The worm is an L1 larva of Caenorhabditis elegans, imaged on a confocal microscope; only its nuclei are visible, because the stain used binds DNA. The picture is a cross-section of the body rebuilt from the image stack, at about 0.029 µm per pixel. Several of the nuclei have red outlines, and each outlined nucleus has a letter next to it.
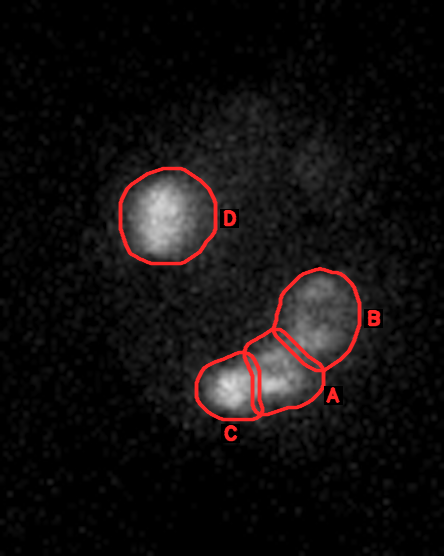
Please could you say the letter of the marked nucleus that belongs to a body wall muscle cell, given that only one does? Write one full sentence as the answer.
It is A that belongs to a body wall muscle cell.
